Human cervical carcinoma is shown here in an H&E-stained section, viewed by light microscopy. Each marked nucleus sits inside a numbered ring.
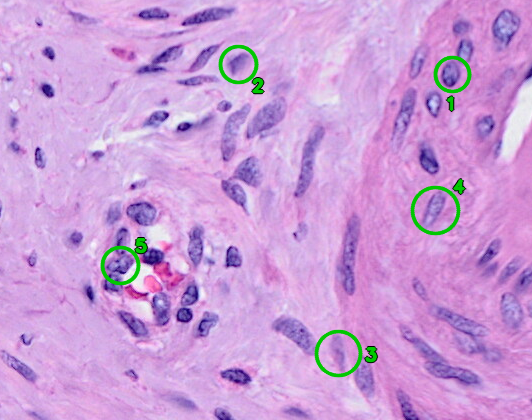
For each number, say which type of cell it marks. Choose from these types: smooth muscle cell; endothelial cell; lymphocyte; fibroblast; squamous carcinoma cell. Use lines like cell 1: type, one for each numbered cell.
cell 1: smooth muscle cell
cell 2: fibroblast
cell 3: smooth muscle cell
cell 4: smooth muscle cell
cell 5: endothelial cell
